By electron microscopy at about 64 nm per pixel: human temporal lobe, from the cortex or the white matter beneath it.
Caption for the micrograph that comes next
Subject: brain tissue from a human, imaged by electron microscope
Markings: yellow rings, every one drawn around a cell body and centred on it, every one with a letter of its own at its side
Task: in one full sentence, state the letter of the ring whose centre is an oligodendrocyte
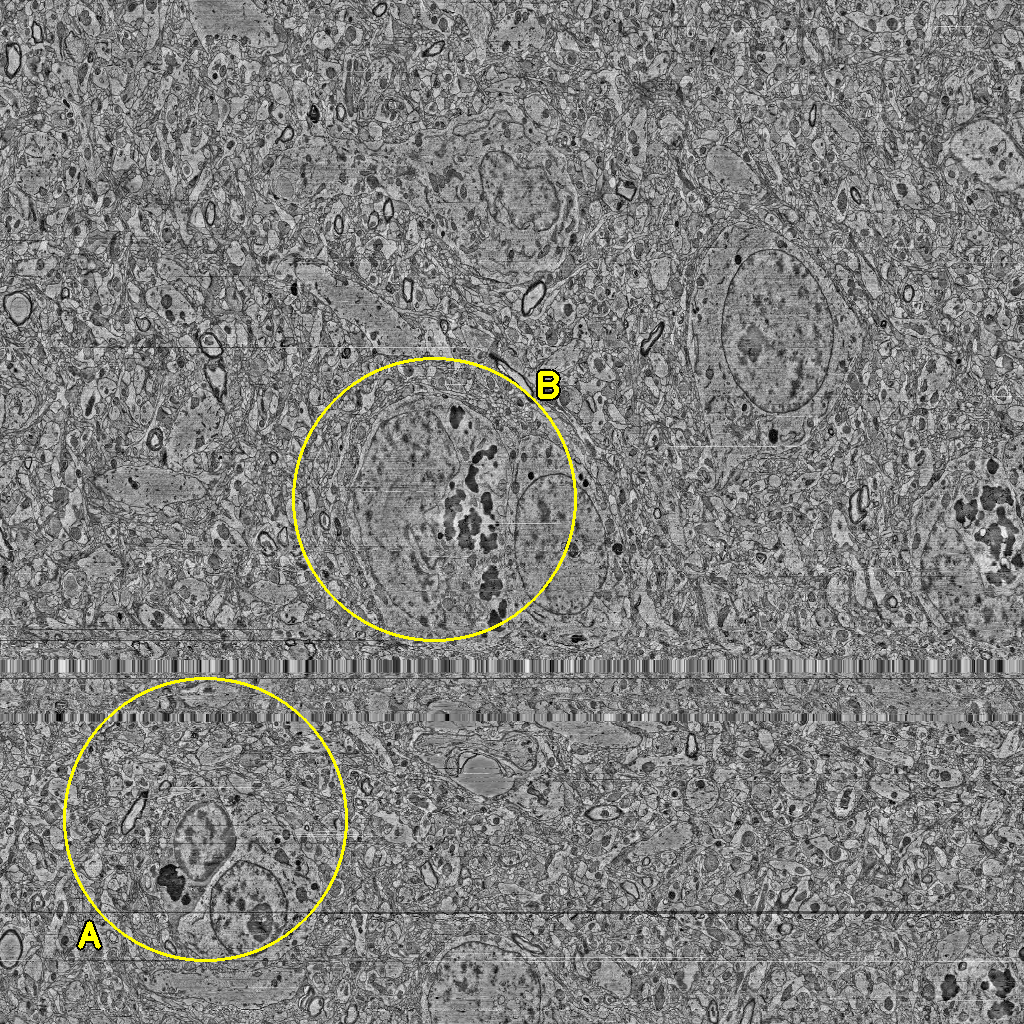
The ring centred on the cell asked for in this micrograph carries the letter A.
